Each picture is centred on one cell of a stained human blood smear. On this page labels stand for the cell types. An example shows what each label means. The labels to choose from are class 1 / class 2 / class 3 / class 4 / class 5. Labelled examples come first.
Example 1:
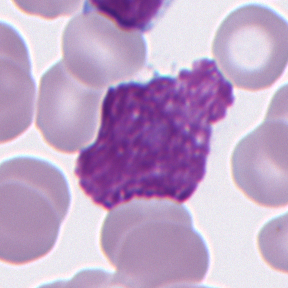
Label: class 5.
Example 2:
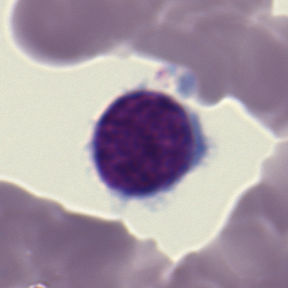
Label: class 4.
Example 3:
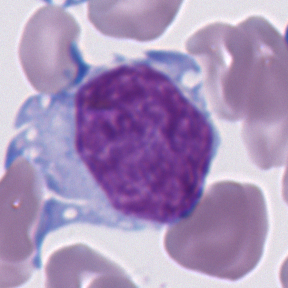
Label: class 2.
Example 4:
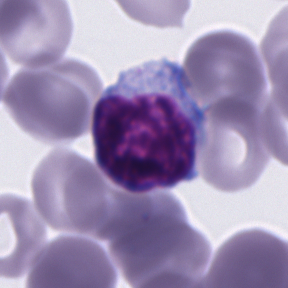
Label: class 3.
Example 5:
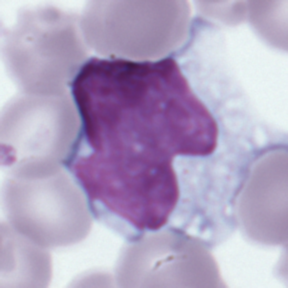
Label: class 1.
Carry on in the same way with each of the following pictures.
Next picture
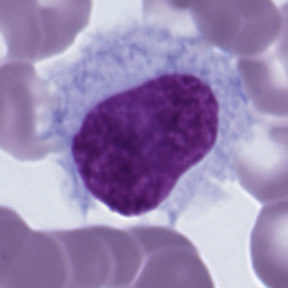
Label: class 4.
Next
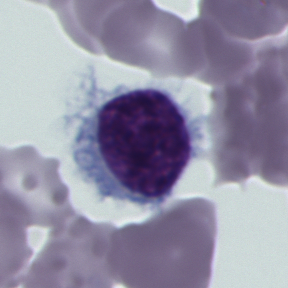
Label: class 4.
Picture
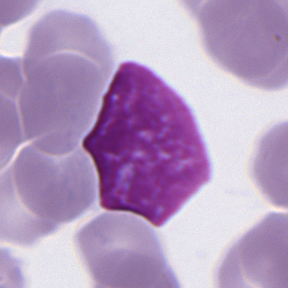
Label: class 5.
